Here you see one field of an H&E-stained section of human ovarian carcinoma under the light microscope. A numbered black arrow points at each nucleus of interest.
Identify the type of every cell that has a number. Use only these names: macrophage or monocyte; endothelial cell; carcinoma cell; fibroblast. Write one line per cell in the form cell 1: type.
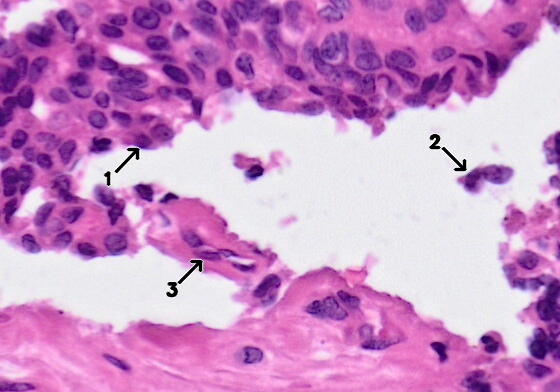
cell 1: carcinoma cell
cell 2: carcinoma cell
cell 3: endothelial cell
